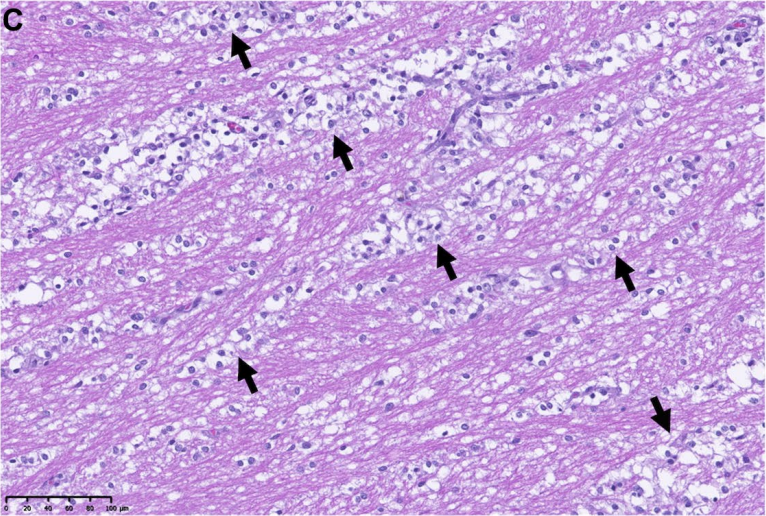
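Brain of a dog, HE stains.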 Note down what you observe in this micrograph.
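Bundles of pink, finely fibrillar white matter run diagonally across the field and are separated by streams of tumor cells. The tumor cells have small, round, dark nuclei, and many are surrounded by clear, empty-looking halos, giving a vacuolated look to the bands they occupy. The cells lie in lines and clusters that split the fibre bundles apart, rather than as a solid sheet.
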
